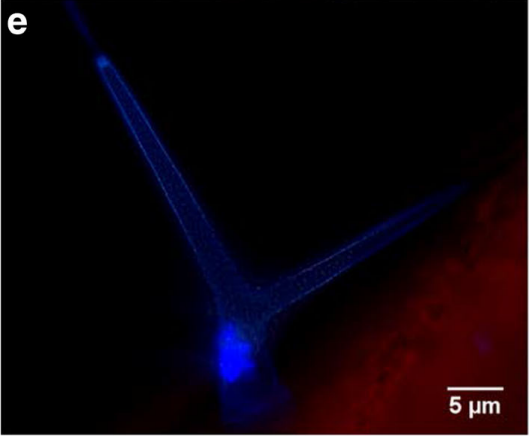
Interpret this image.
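A branched leaf trichome stands out from the leaf surface in blue fluorescence against a dark field. Its long tapering arms diverge from a common stalk and show a finely dotted wall texture. A bright blue spot lies at the base of the branching point. The underlying leaf tissue glows red in the lower right.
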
